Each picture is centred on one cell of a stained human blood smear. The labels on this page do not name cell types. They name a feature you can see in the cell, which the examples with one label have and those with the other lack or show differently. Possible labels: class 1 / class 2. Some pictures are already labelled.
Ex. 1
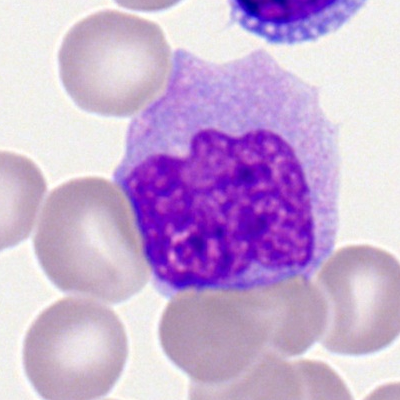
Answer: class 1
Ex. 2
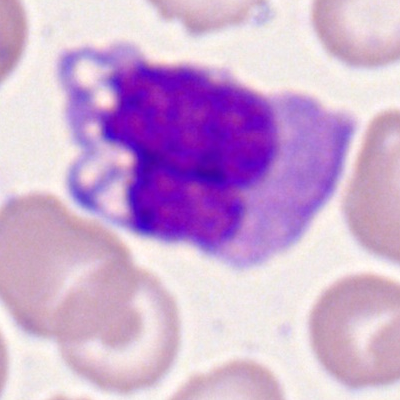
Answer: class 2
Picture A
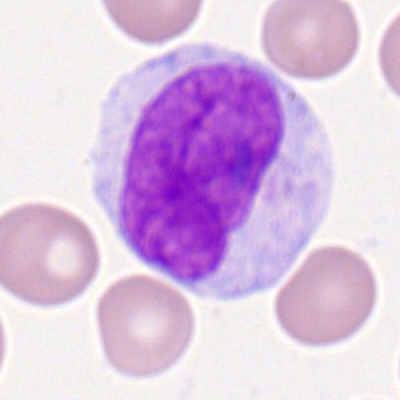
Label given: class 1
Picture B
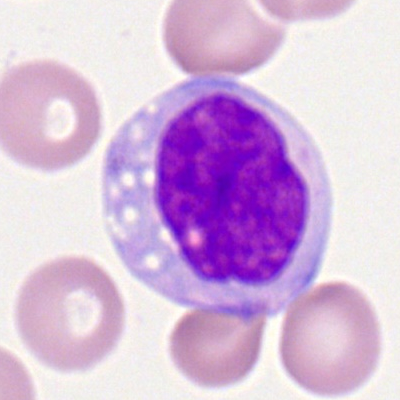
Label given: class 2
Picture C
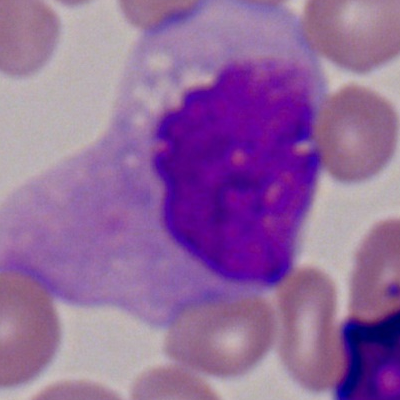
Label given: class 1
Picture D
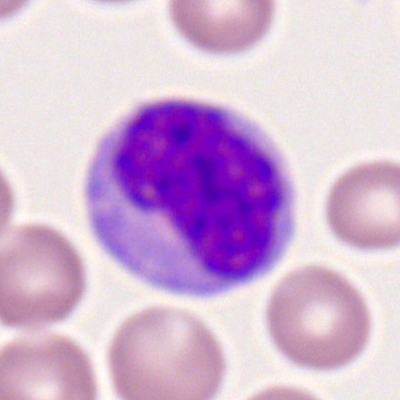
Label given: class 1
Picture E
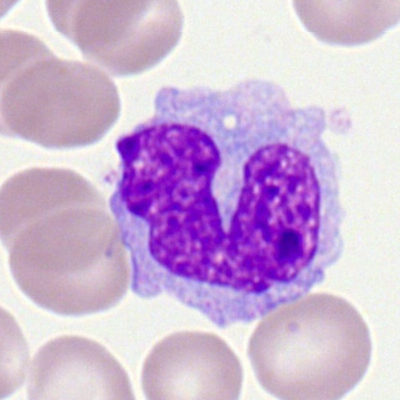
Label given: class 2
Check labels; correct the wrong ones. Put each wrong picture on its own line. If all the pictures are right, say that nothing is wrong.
C: class 2, not class 1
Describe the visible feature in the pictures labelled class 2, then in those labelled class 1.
class 2: vacuoles present; class 1: no vacuoles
